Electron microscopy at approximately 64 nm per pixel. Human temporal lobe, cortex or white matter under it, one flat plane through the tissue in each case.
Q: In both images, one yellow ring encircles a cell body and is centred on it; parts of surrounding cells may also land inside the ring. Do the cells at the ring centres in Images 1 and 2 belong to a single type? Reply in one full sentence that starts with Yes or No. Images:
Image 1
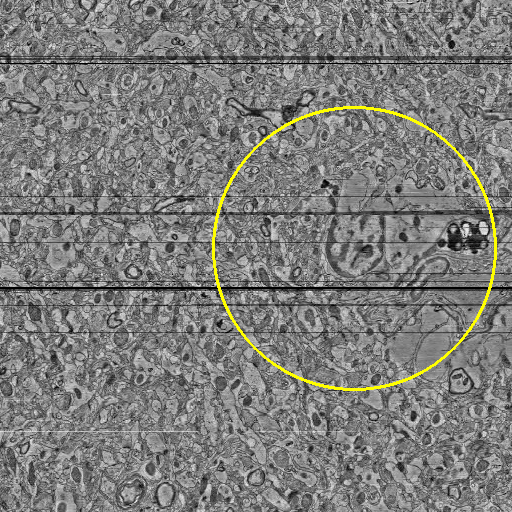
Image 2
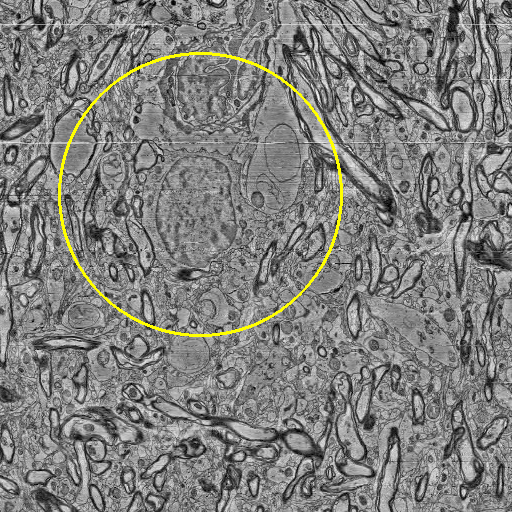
No, the cells at the ring centres in Images 1 and 2 are of two types.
